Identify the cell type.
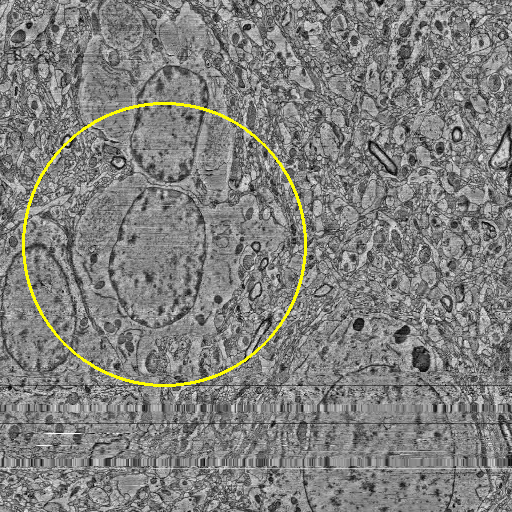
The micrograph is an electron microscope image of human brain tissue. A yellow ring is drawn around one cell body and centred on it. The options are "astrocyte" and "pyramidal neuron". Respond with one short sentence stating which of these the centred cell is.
The cell body in the ring belongs to an astrocyte.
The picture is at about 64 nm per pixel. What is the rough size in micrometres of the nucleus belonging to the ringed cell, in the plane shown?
The nucleus measures about 9 by 6 micrometres in this plane.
